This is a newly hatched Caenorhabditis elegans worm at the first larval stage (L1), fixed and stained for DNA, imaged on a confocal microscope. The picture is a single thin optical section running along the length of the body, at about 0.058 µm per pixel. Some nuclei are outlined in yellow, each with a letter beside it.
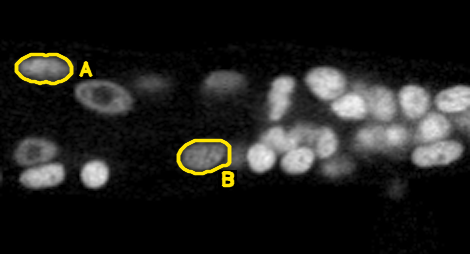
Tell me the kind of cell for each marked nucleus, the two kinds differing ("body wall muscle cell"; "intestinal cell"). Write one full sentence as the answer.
A belongs to a body wall muscle cell and B to an intestinal cell.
